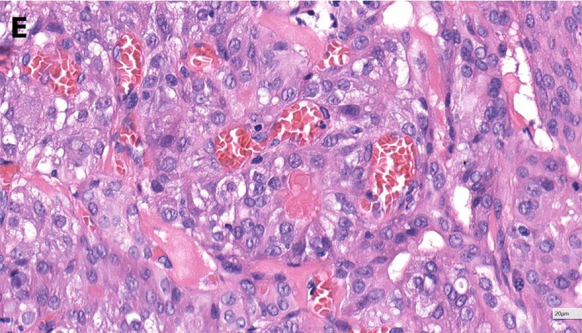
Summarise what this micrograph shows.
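At high power the tumor cells form solid sheets, each with a fairly uniform round or oval nucleus. Their cytoplasm is pink in some cells and pale with clear vacuoles in others. Small vessels packed with red blood cells run between them.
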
